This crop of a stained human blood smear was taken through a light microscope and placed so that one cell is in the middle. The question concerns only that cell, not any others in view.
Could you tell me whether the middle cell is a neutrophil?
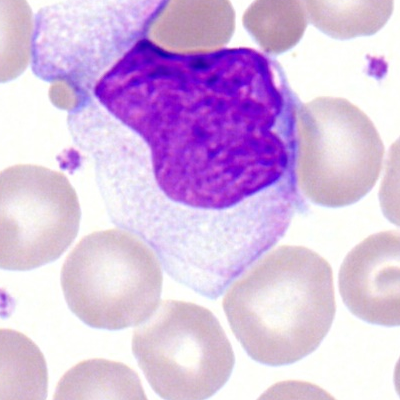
no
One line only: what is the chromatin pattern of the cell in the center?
Check the chromatin: it is fine and not coarsely clumped.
